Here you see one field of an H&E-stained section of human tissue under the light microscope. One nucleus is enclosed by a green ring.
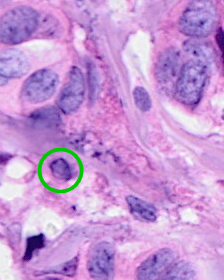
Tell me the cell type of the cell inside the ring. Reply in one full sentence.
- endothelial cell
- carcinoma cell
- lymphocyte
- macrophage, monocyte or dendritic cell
By its classification, the cell inside the ring is a macrophage, monocyte or dendritic cell.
